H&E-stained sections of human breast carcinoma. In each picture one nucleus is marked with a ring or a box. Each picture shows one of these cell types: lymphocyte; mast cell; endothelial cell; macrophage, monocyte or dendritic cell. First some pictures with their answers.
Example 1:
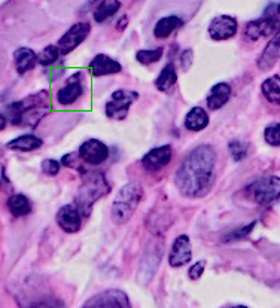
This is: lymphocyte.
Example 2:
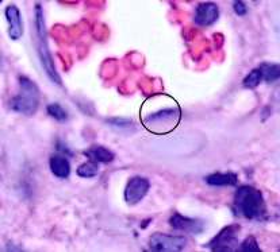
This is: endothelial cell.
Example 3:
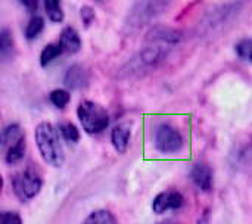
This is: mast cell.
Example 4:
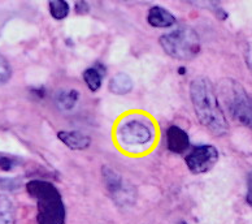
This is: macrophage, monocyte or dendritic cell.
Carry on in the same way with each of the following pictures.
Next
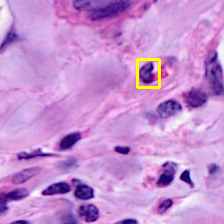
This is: endothelial cell.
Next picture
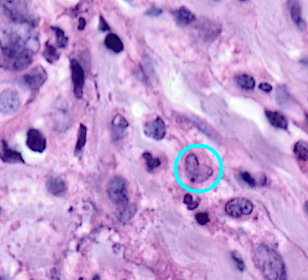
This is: macrophage, monocyte or dendritic cell.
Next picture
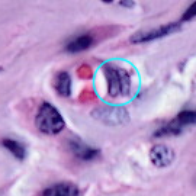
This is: endothelial cell.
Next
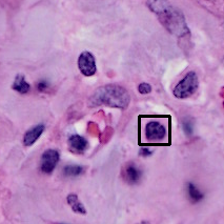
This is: mast cell.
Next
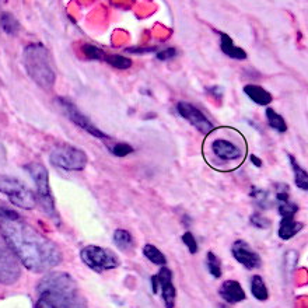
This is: mast cell.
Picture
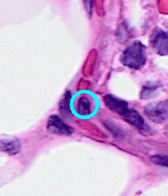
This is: endothelial cell.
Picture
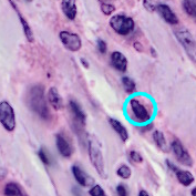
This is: lymphocyte.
